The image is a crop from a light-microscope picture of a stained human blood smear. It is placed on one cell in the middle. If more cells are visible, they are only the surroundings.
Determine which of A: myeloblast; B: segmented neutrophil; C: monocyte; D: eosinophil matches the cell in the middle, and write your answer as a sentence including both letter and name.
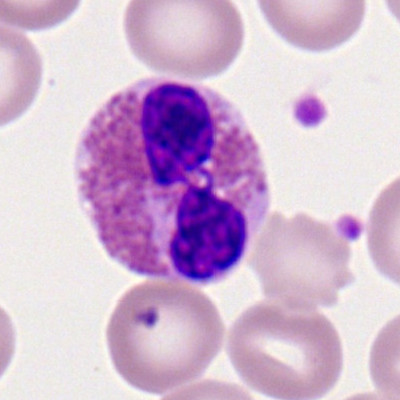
The correct option is D, as the central cell is an eosinophil.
